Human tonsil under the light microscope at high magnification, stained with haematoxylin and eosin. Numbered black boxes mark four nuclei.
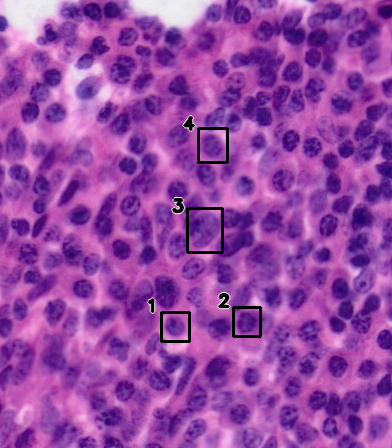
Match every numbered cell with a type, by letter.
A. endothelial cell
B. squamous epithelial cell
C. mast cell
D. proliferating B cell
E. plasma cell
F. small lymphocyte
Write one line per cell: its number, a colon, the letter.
1: E
2: E
3: B
4: E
